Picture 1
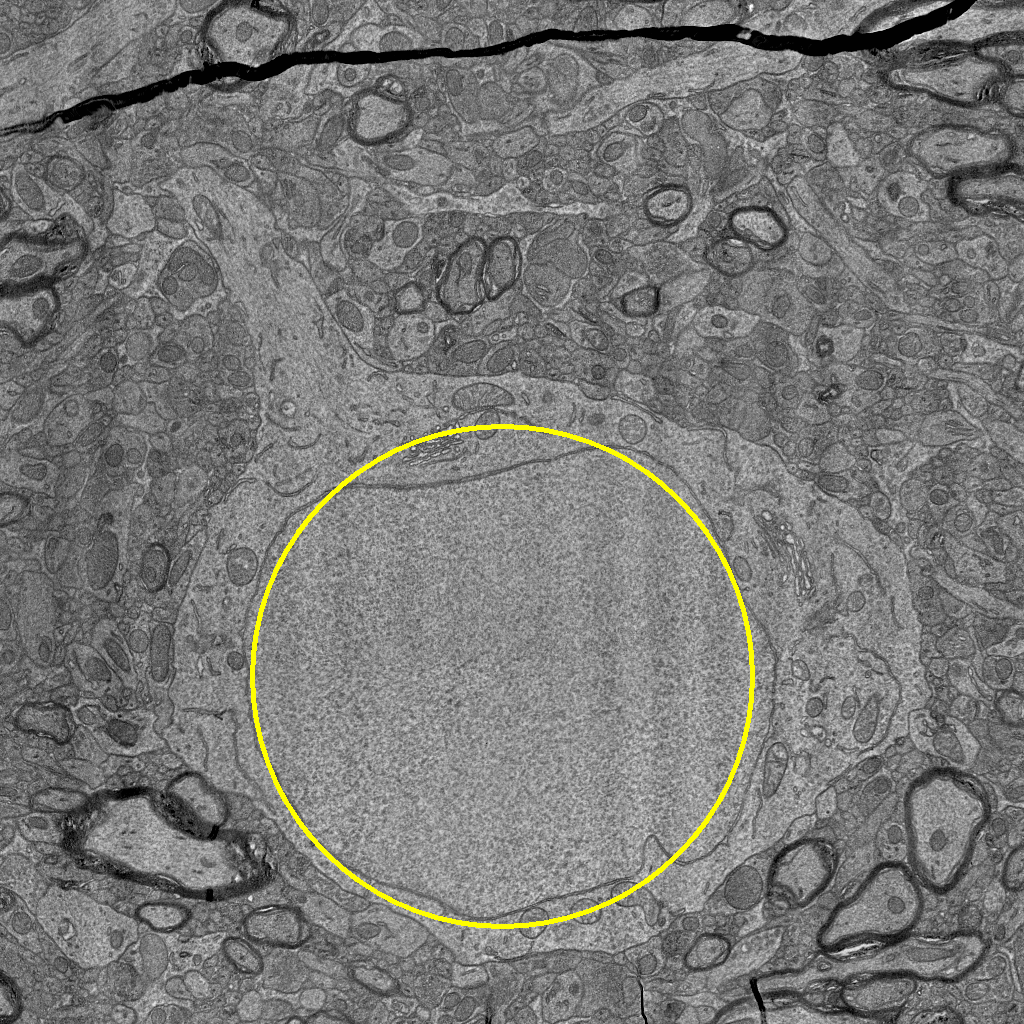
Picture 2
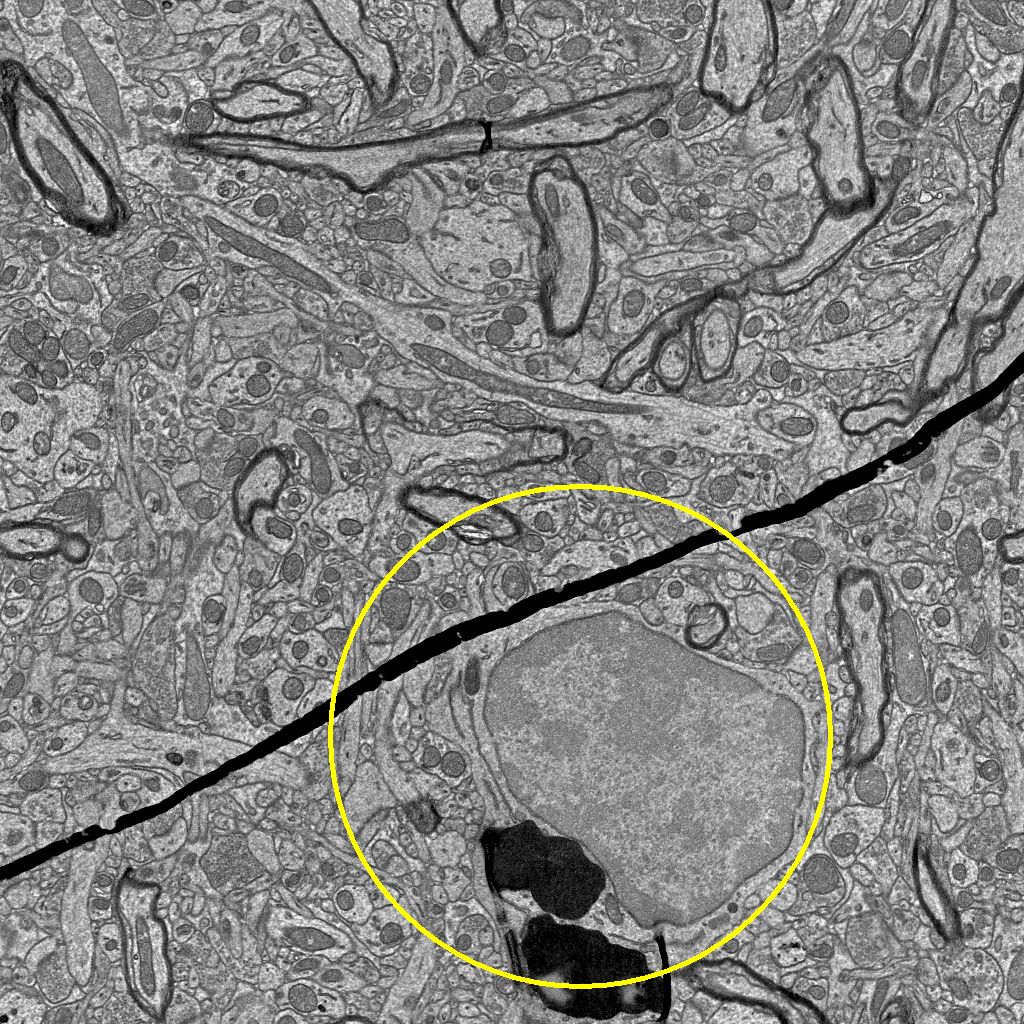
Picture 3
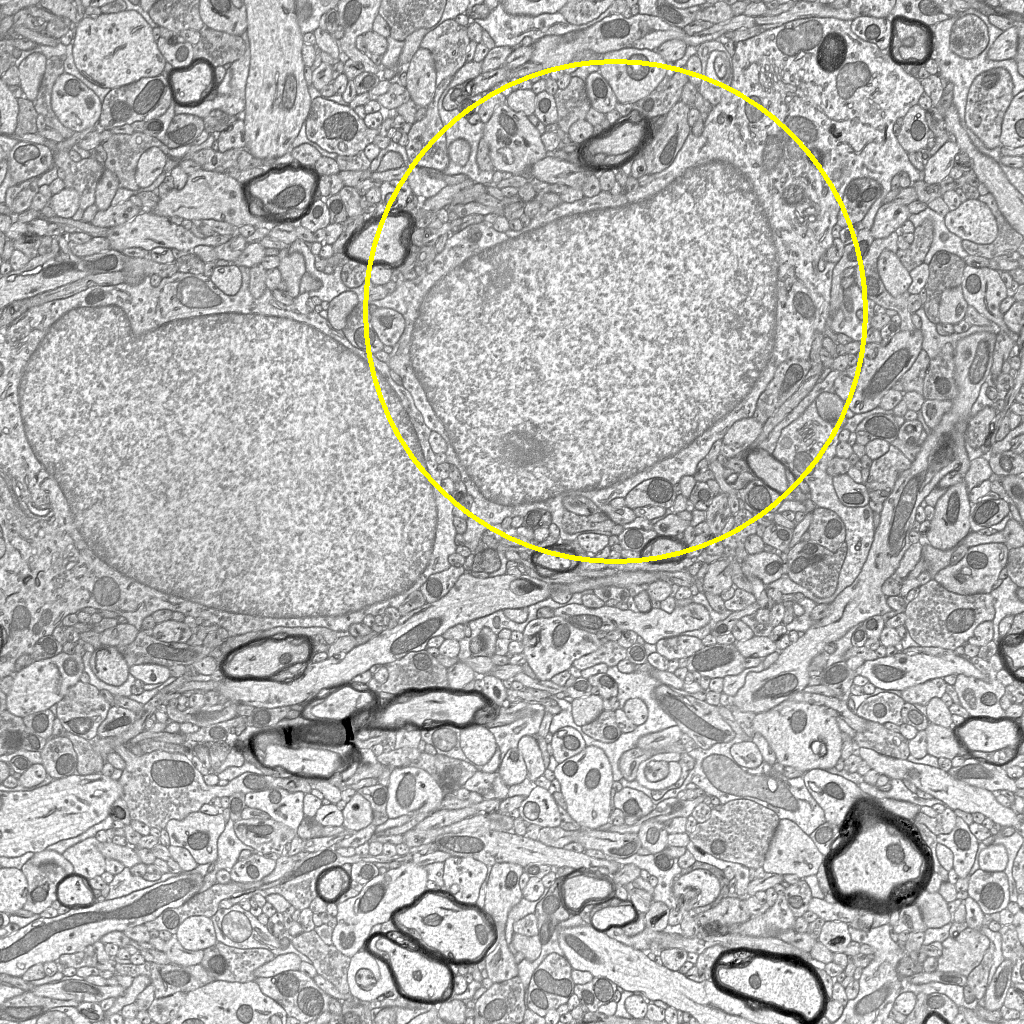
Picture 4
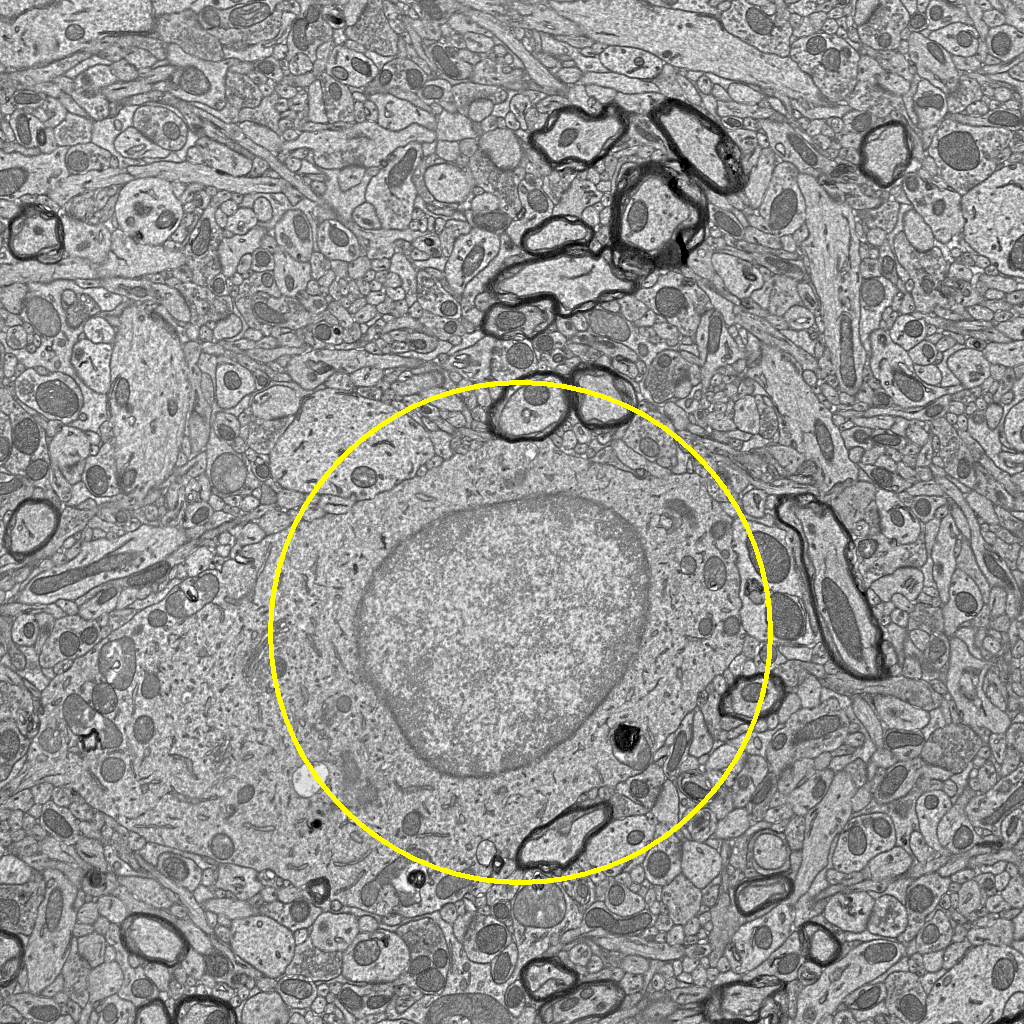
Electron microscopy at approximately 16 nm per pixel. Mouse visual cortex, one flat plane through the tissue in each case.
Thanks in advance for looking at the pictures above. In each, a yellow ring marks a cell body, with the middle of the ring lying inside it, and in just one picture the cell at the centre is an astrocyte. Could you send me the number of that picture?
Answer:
3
